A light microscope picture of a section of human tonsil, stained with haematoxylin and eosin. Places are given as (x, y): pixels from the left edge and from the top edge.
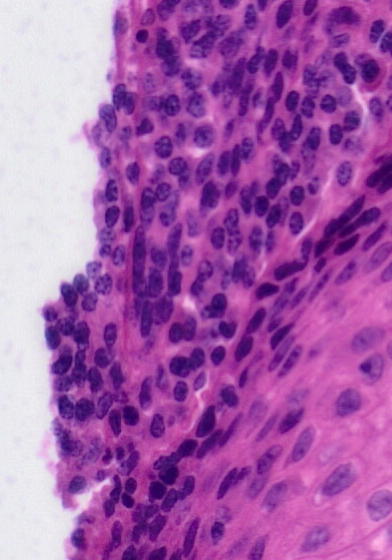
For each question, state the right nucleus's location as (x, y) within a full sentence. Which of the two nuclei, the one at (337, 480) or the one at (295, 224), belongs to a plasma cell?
Of the two nuclei, the nucleus belonging to a plasma cell is located at (295, 224).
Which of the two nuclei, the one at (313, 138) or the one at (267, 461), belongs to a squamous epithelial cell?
The nucleus at (267, 461) is contained in a squamous epithelial cell.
